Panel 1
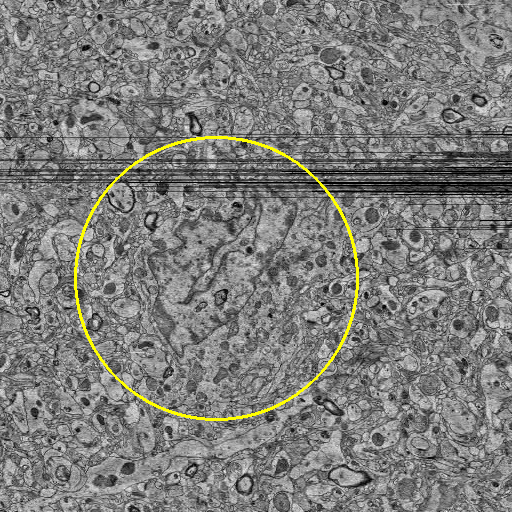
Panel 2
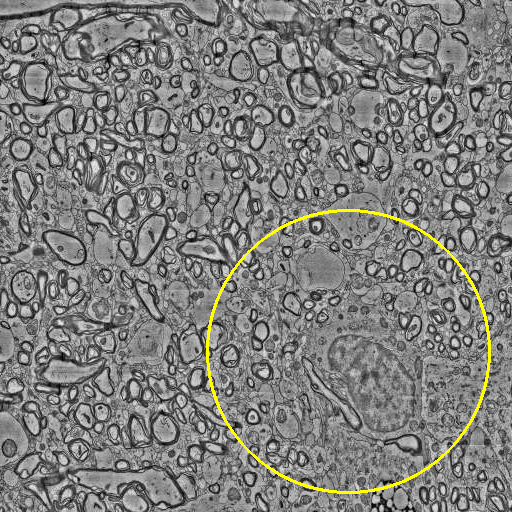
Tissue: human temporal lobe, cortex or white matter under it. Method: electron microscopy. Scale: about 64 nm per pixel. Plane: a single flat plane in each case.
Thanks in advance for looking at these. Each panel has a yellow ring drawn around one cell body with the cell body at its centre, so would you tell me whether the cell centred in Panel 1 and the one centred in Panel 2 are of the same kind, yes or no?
no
